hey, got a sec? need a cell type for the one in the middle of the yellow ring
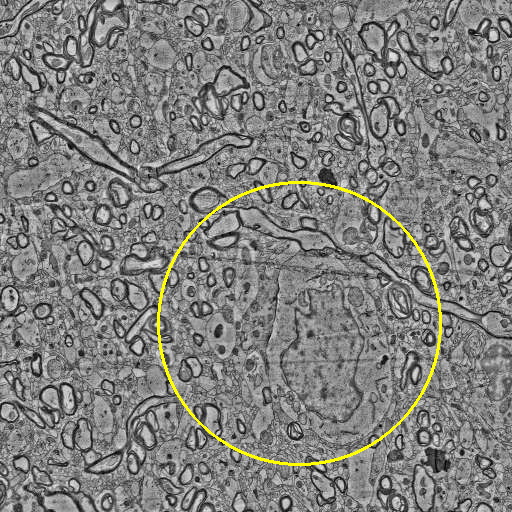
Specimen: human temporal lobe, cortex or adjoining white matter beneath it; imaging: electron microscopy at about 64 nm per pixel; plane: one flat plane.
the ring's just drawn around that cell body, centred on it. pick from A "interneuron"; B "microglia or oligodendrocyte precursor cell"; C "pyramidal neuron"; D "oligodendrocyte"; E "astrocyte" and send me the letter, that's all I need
A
